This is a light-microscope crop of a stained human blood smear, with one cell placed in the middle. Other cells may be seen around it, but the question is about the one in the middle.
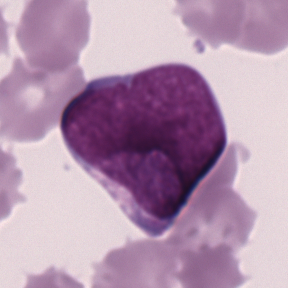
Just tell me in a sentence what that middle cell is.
In the middle of this smear crop, the cell is a myeloblast.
